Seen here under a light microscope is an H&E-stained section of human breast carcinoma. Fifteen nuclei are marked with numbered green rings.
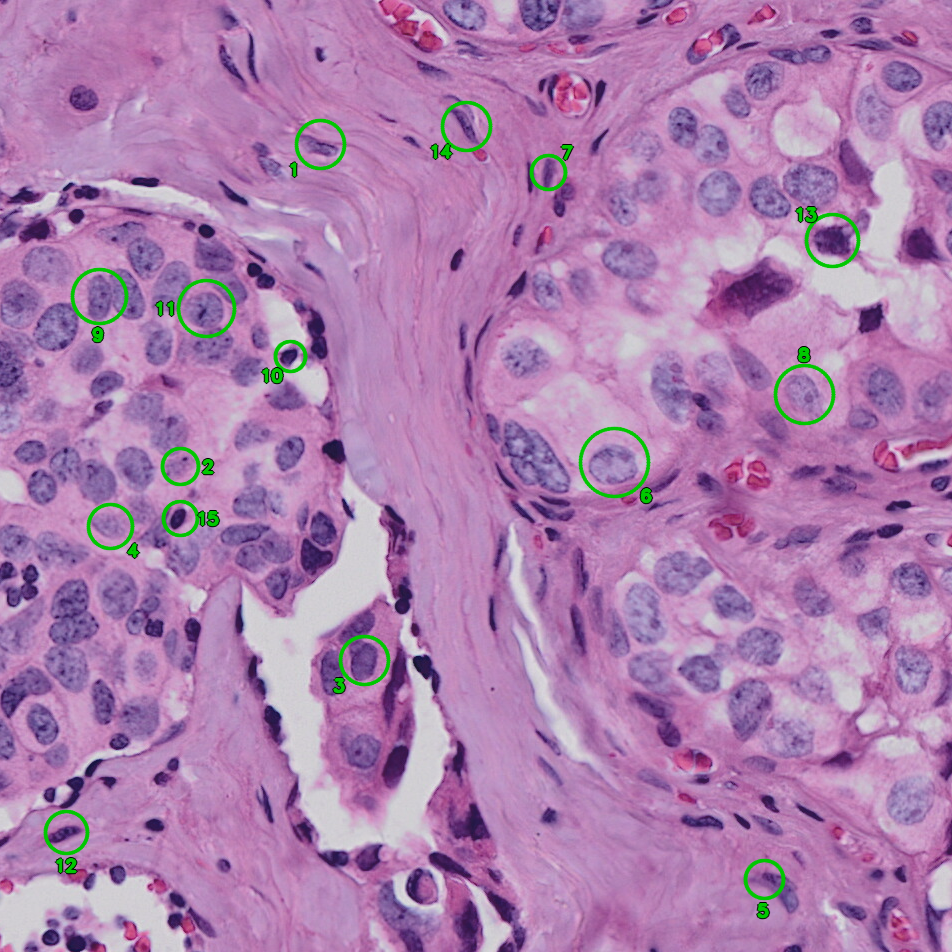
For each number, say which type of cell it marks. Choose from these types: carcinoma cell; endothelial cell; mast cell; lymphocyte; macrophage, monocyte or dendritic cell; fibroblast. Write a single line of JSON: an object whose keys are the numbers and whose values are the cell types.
{"1": "fibroblast", "2": "carcinoma cell", "3": "carcinoma cell", "4": "carcinoma cell", "5": "fibroblast", "6": "carcinoma cell", "7": "fibroblast", "8": "carcinoma cell", "9": "carcinoma cell", "10": "lymphocyte", "11": "carcinoma cell", "12": "mast cell", "13": "carcinoma cell", "14": "fibroblast", "15": "lymphocyte"}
